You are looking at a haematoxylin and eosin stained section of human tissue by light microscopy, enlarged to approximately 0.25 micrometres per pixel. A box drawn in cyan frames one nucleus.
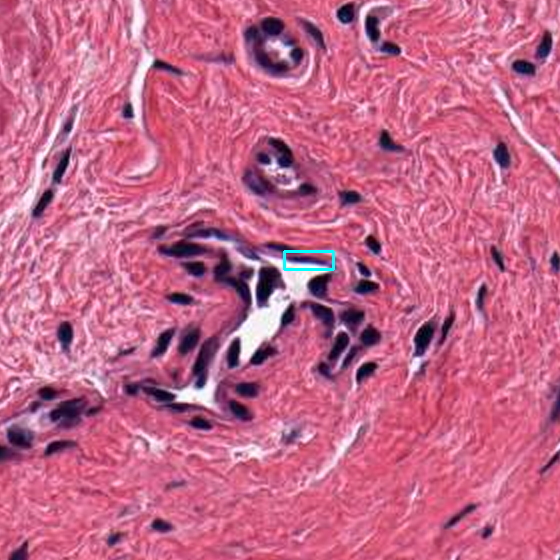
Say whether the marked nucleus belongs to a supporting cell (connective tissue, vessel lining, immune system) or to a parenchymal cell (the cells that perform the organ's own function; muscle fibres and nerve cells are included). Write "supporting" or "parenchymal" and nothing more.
supporting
